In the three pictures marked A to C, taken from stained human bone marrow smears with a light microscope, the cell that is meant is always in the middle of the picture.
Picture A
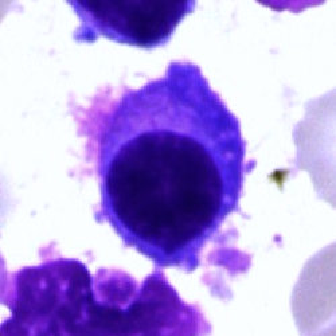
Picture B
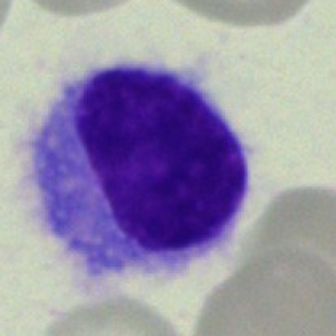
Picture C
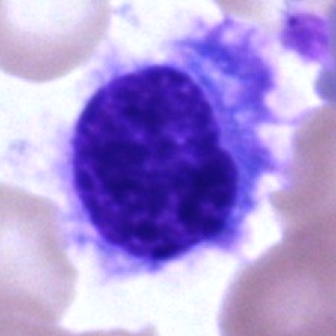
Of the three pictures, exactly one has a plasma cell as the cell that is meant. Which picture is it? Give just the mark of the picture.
A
